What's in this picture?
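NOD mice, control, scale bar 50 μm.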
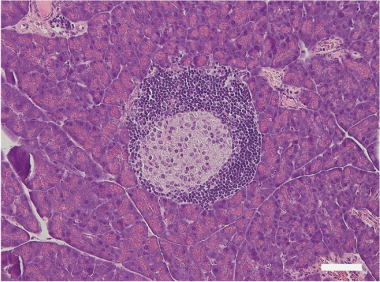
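This section shows a pancreatic islet with insulitis. In the centre lies a round cluster of pale-staining endocrine cells with lightly coloured cytoplasm and small nuclei. Around it runs a thick, dense ring of small round cells with dark purple nuclei and scant cytoplasm, the infiltrating immune cells, which encircles the islet on all sides and presses into its edge. Outside this ring lies the surrounding glandular tissue, stained pink to purple, made of closely packed cells with granular cytoplasm. Thin pale connective tissue strands and small vessels cross the surrounding tissue.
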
